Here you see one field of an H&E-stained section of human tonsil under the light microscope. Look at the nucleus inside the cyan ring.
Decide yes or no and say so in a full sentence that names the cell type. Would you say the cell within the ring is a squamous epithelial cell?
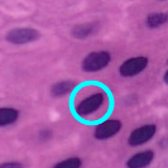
Yes, the cell within the ring qualifies as a squamous epithelial cell in this section.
